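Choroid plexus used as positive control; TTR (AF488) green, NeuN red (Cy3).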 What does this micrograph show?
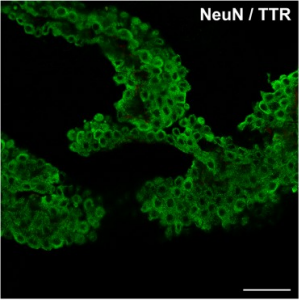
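The cells are polygonal to cuboidal and pack tightly side by side, covering several branching folds that lie free in dark, empty space. Each cell has a brighter cytoplasmic rim surrounding a darker, round central nucleus, giving a honeycomb-like pattern.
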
